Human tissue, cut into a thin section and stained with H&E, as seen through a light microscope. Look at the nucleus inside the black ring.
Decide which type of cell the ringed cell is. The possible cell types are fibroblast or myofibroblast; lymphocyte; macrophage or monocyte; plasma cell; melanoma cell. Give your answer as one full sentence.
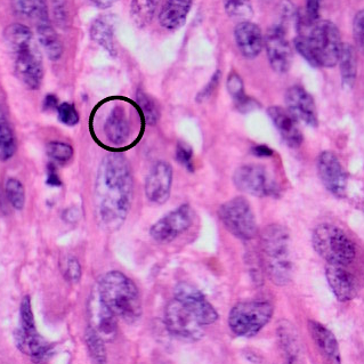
On this particular slide, the ringed cell is a melanoma cell.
